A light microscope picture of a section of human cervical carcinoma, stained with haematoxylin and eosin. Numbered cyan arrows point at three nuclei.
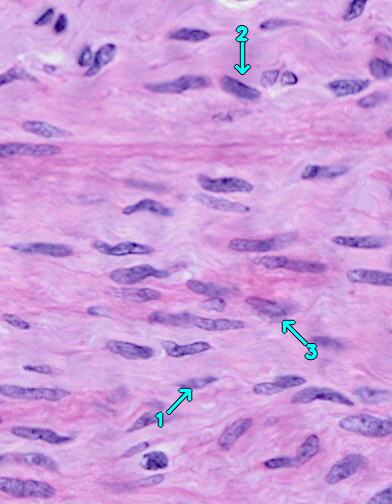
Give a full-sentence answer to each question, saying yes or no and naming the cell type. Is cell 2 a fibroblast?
Yes, looking at number 2, that cell is a fibroblast.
